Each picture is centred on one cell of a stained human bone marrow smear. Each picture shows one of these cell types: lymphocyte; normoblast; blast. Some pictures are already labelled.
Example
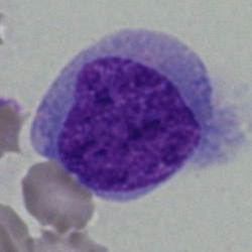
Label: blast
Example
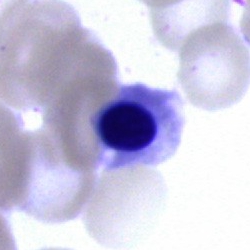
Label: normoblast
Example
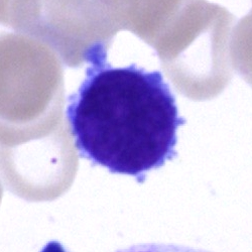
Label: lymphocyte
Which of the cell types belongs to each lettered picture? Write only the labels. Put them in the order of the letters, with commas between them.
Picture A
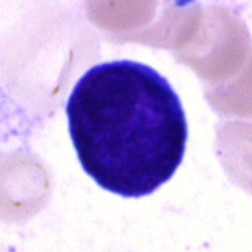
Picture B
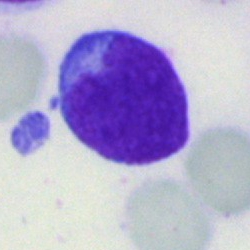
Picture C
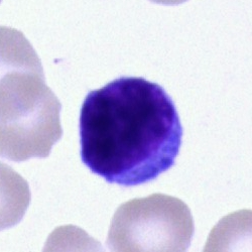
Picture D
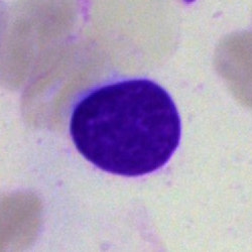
blast, blast, lymphocyte, lymphocyte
